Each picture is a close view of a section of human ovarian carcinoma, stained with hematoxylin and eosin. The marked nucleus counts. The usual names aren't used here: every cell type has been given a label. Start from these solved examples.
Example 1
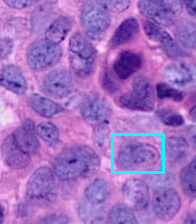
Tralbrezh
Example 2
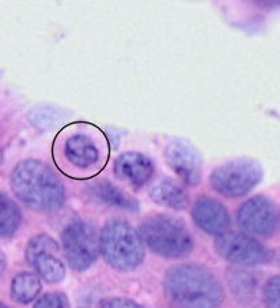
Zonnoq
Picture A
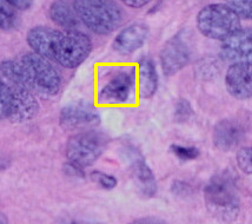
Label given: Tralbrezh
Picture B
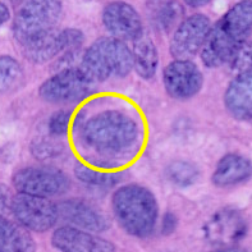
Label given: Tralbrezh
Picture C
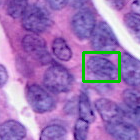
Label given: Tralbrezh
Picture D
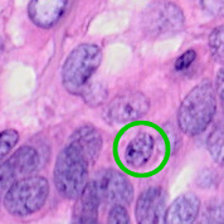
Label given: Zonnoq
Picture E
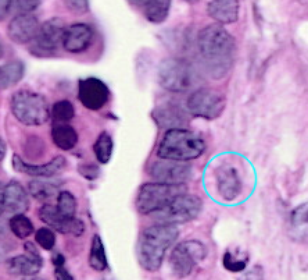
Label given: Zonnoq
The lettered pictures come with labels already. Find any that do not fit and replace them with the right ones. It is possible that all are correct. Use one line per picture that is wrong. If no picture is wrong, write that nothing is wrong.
A: Zonnoq, not Tralbrezh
